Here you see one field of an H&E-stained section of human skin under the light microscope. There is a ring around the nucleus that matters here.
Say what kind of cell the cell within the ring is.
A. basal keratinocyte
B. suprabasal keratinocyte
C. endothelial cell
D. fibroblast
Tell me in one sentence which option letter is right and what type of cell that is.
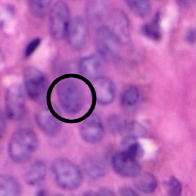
It is option A that is correct, the cell within the ring being a basal keratinocyte.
